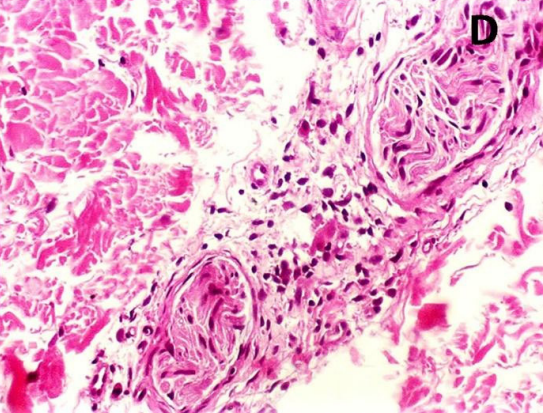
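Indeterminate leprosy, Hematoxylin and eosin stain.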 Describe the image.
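In the dermis between pink collagen bundles lie two small nerve twigs, each a rounded bundle of wavy fibres with slender elongated nuclei. Small dark round inflammatory cells gather around and between the nerve twigs, hugging their outer sheath, which is the picture of perineuritis.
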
